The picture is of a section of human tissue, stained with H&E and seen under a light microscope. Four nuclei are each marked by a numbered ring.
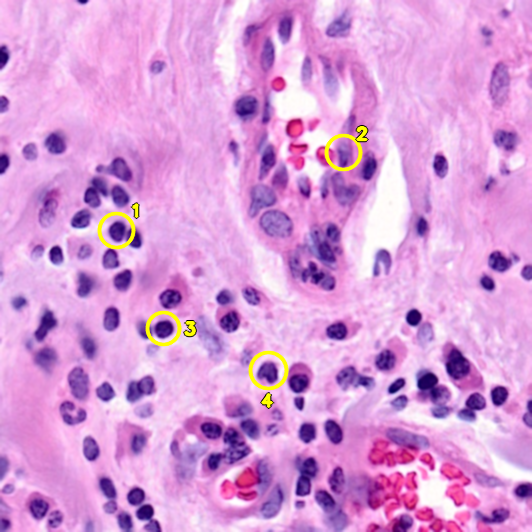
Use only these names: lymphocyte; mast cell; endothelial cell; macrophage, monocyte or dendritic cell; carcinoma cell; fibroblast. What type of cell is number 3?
lymphocyte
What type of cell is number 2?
endothelial cell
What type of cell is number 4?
lymphocyte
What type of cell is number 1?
lymphocyte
